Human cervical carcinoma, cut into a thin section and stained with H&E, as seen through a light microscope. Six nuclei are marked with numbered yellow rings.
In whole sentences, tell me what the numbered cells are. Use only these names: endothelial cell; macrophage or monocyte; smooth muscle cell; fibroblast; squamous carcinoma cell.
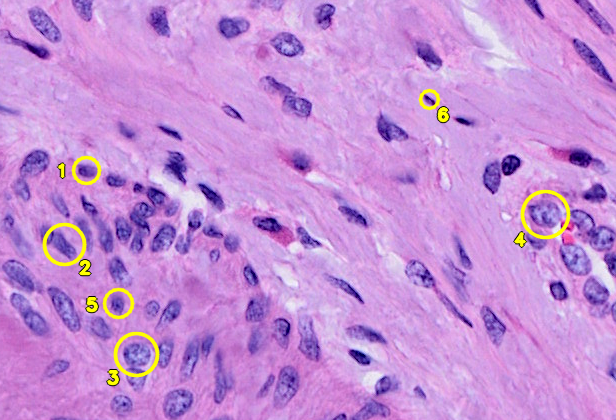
Cells 1, 2, 3 and 5 are smooth muscle cells. Cell 4 is an endothelial cell. Cell 6 is a fibroblast.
